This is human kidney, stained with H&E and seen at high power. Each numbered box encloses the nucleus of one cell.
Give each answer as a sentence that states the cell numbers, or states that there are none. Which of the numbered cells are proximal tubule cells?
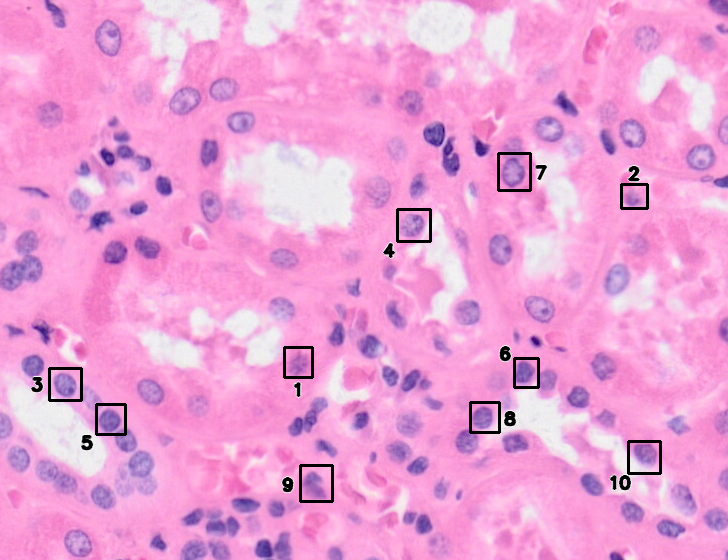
Classified as proximal tubule cells are the cells numbered 1 and 7.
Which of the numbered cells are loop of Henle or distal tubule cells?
The cells picked out by numbers 4, 6, 8 and 10 are loop of Henle or distal tubule cells.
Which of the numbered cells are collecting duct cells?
Into the category of collecting duct cells fall the cells numbered 3 and 5.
